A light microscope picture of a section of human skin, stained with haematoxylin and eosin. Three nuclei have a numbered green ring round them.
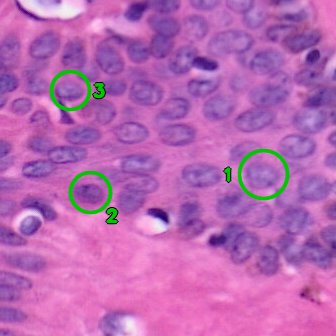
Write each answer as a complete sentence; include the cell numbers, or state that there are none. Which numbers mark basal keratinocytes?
In short, the numbered cells 2 and 3 are basal keratinocytes.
